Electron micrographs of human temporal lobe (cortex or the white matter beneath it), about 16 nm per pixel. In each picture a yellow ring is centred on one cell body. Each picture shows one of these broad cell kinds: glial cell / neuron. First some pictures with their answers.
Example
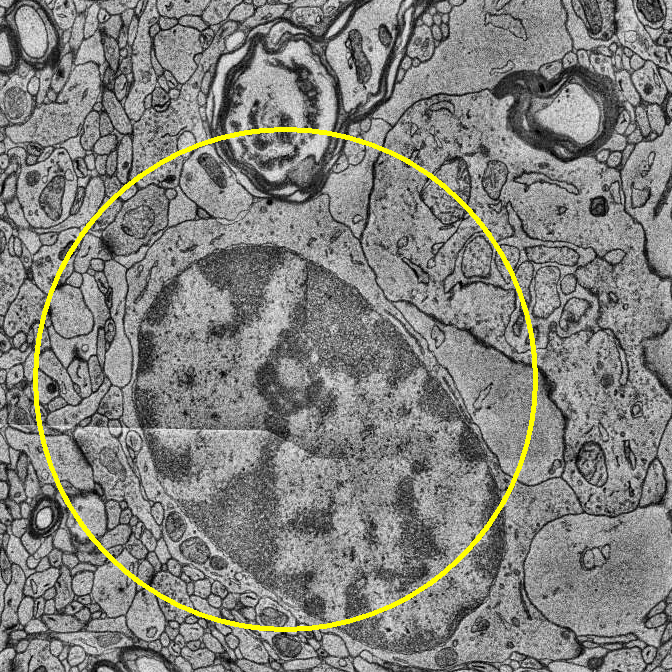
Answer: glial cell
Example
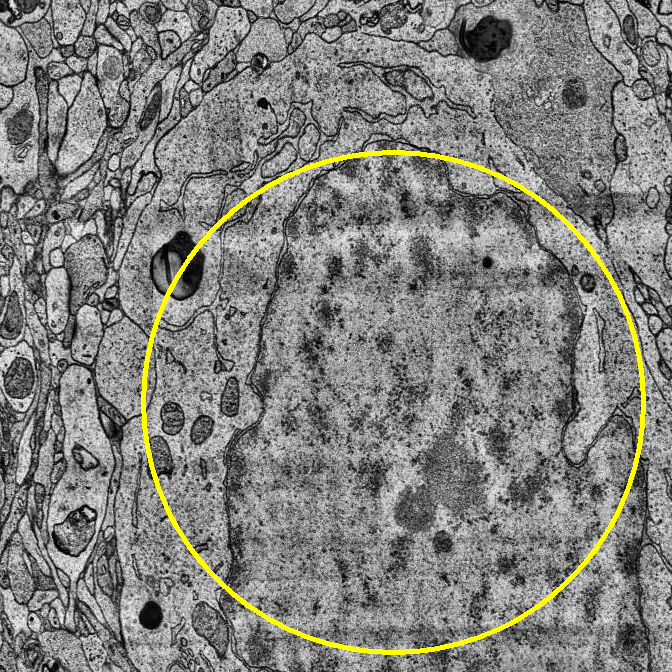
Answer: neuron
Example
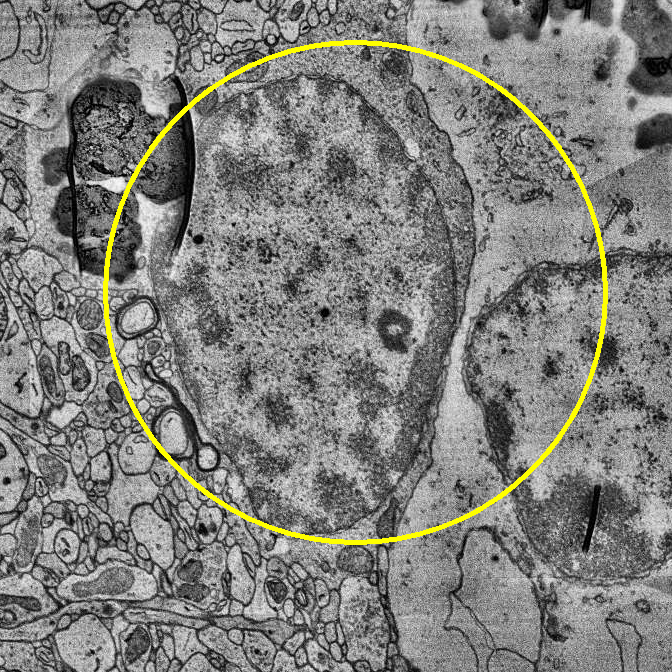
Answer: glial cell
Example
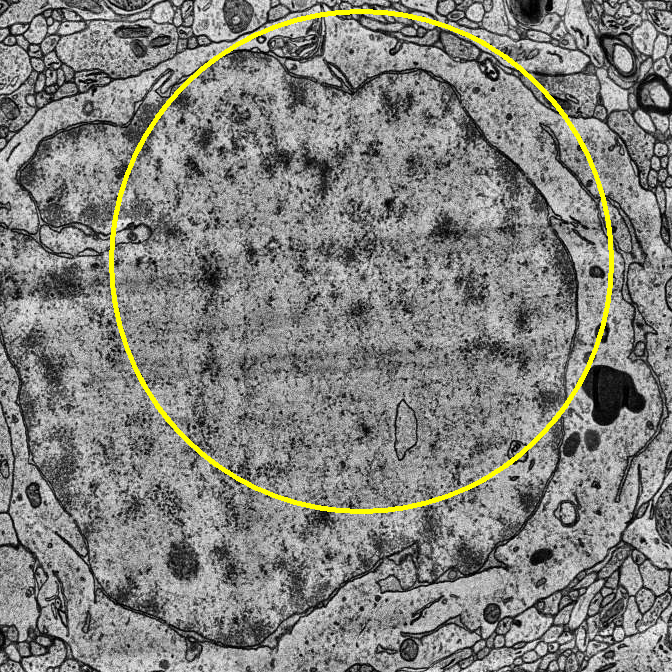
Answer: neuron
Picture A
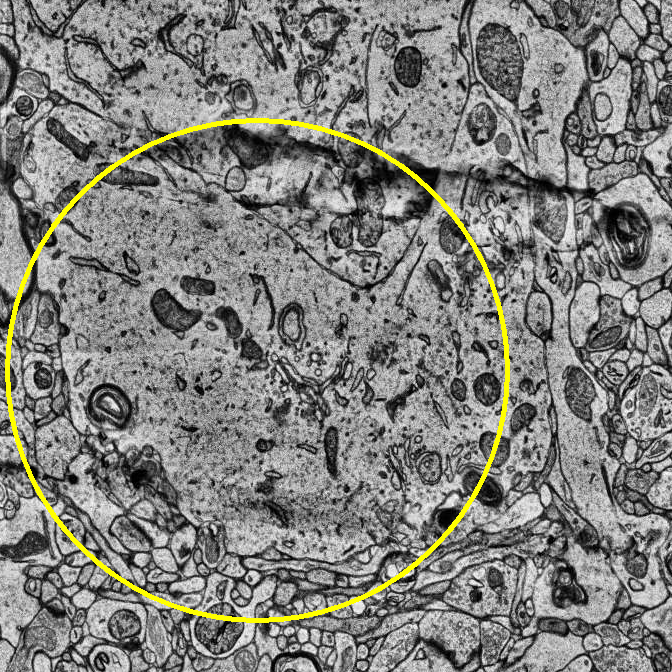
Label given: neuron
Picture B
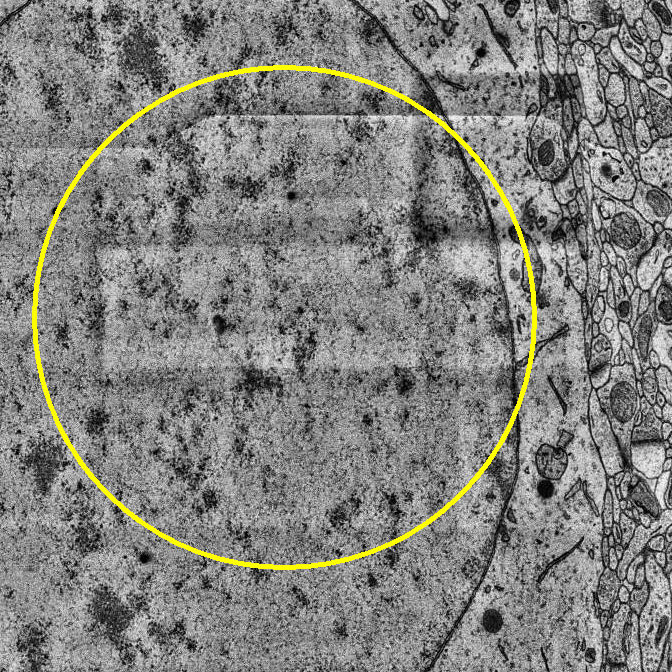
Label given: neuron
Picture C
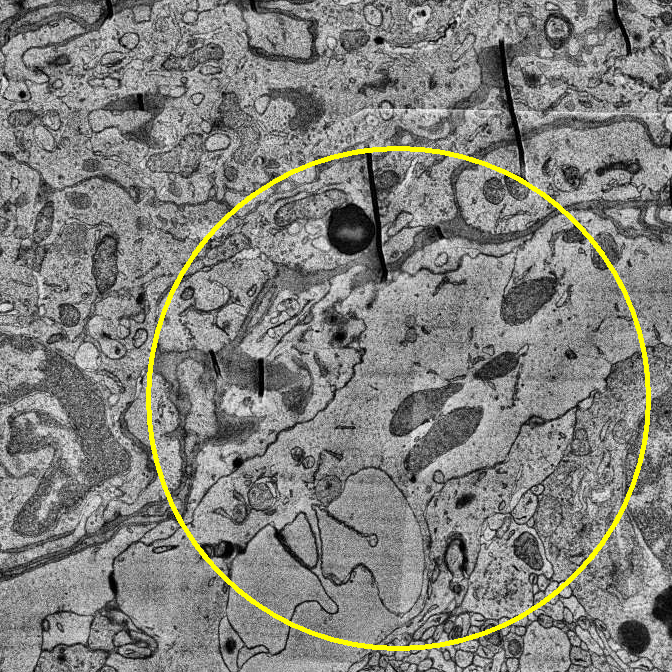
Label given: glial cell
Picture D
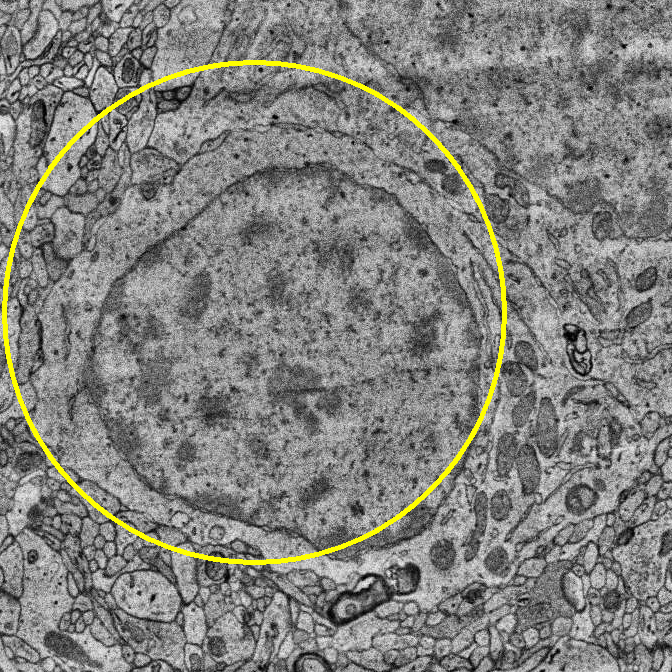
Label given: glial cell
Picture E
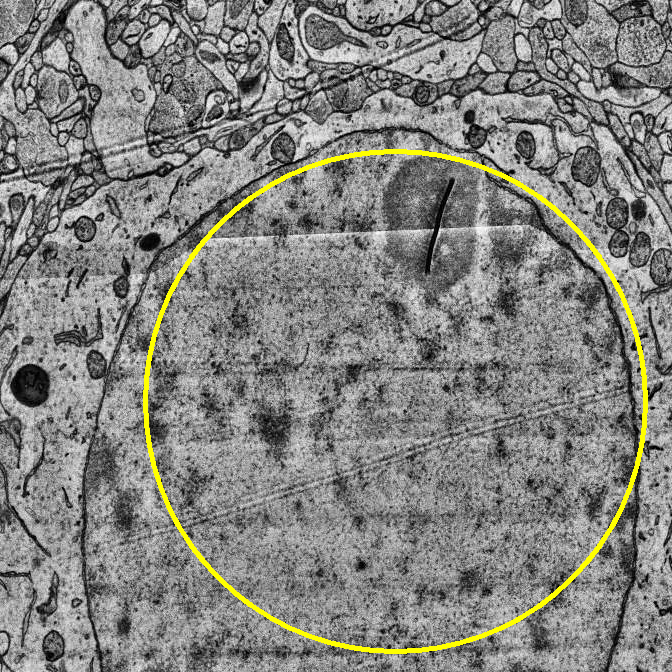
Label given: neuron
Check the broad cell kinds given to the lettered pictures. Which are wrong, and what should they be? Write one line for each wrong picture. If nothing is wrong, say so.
A: not neuron but glial cell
